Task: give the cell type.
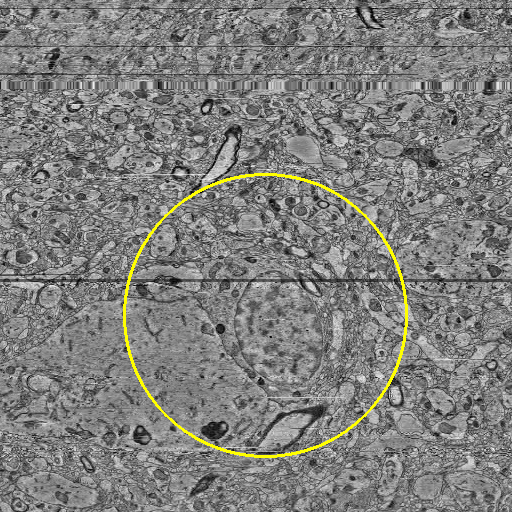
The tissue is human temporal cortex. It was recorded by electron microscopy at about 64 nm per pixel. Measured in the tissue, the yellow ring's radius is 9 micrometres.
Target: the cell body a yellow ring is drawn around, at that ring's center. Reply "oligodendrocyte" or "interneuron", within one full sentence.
In this picture, the cell whose body lies at the ring's center is an oligodendrocyte.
